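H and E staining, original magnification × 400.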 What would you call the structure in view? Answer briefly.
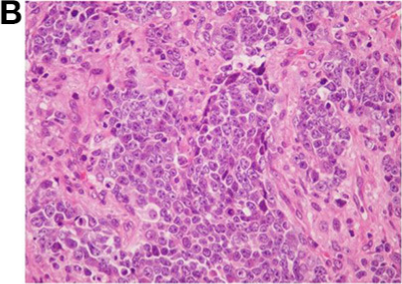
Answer: irregular clusters or islands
